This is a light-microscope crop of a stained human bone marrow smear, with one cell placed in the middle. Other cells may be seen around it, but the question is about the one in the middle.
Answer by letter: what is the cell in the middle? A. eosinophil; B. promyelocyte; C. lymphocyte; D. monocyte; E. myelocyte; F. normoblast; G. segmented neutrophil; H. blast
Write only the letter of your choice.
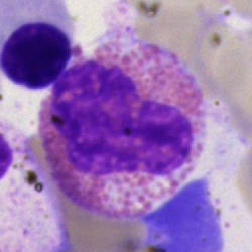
A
